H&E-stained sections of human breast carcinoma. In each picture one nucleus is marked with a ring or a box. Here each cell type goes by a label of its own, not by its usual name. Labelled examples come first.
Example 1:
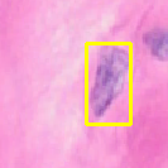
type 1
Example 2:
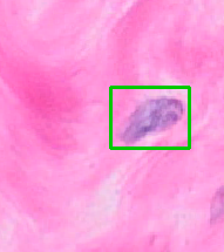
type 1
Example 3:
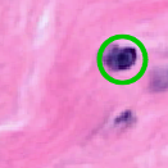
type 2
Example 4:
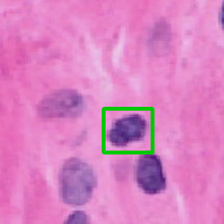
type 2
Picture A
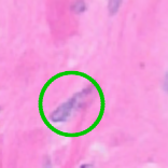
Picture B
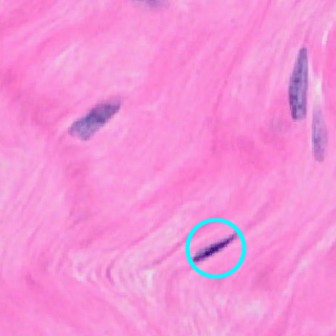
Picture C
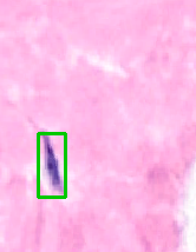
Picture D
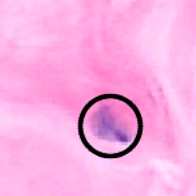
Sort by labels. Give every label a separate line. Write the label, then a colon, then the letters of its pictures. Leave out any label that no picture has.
type 1: A, B, C, D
